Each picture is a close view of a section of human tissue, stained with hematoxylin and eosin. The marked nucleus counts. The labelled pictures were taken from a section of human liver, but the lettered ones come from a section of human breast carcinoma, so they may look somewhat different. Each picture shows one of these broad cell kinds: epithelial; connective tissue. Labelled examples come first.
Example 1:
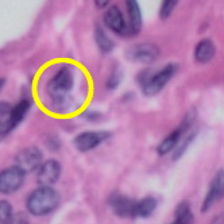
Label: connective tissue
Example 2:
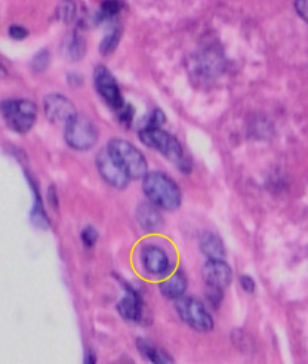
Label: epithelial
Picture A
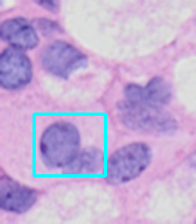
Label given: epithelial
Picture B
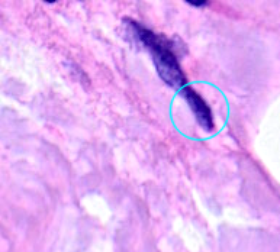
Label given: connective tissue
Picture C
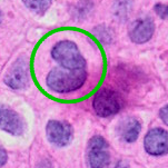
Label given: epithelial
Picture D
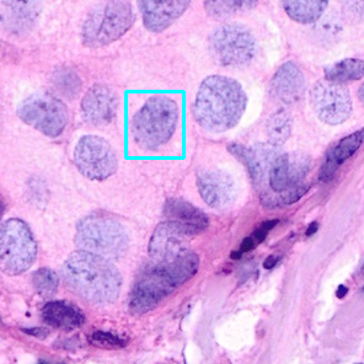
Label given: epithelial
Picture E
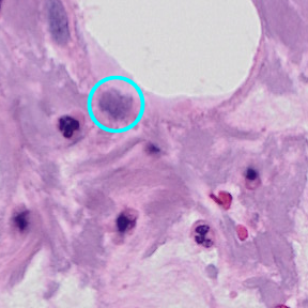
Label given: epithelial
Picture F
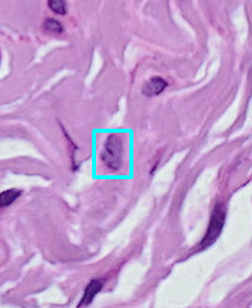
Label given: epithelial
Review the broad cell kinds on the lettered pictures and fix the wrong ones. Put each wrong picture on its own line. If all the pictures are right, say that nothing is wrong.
E should be connective tissue, not epithelial
F should be connective tissue, not epithelial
